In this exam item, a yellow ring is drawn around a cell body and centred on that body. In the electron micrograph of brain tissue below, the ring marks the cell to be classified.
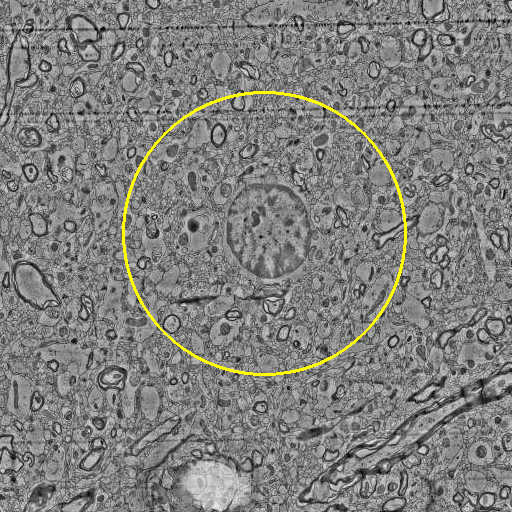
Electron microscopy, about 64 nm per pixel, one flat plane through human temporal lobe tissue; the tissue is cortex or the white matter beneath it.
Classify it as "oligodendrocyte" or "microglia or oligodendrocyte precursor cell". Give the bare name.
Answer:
oligodendrocyte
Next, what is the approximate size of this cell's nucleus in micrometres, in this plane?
In this plane, the nucleus measures approximately 6 micrometres across.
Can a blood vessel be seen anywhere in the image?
No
